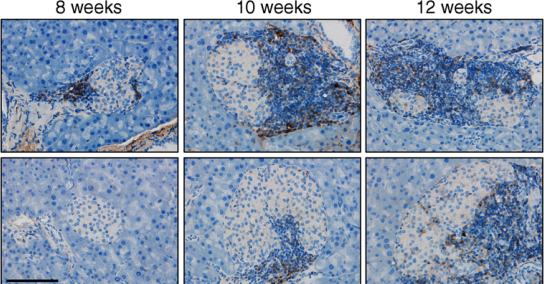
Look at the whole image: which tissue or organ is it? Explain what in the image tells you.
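Pale, rounded islets sit among acinar tissue. Small round cells with dark nuclei gather in and around the islets.
Hence: pancreas.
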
